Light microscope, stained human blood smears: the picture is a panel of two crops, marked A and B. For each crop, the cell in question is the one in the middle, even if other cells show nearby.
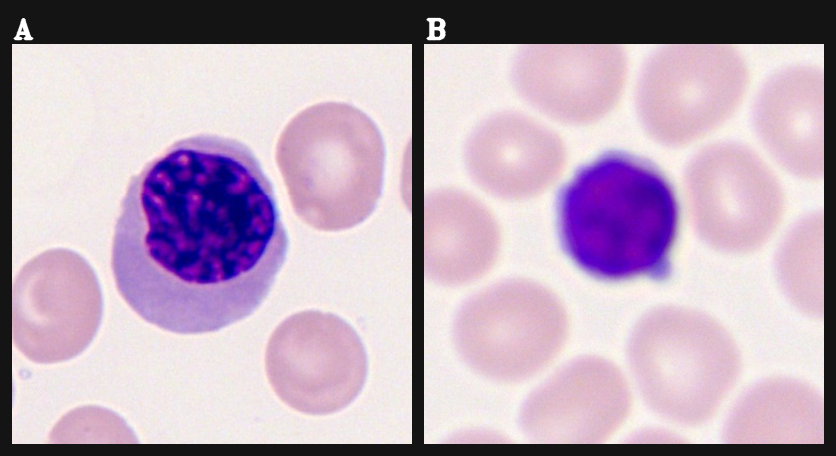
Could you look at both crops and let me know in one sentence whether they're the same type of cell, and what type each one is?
No, crop A represents a normoblast, and crop B represents a lymphocyte.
